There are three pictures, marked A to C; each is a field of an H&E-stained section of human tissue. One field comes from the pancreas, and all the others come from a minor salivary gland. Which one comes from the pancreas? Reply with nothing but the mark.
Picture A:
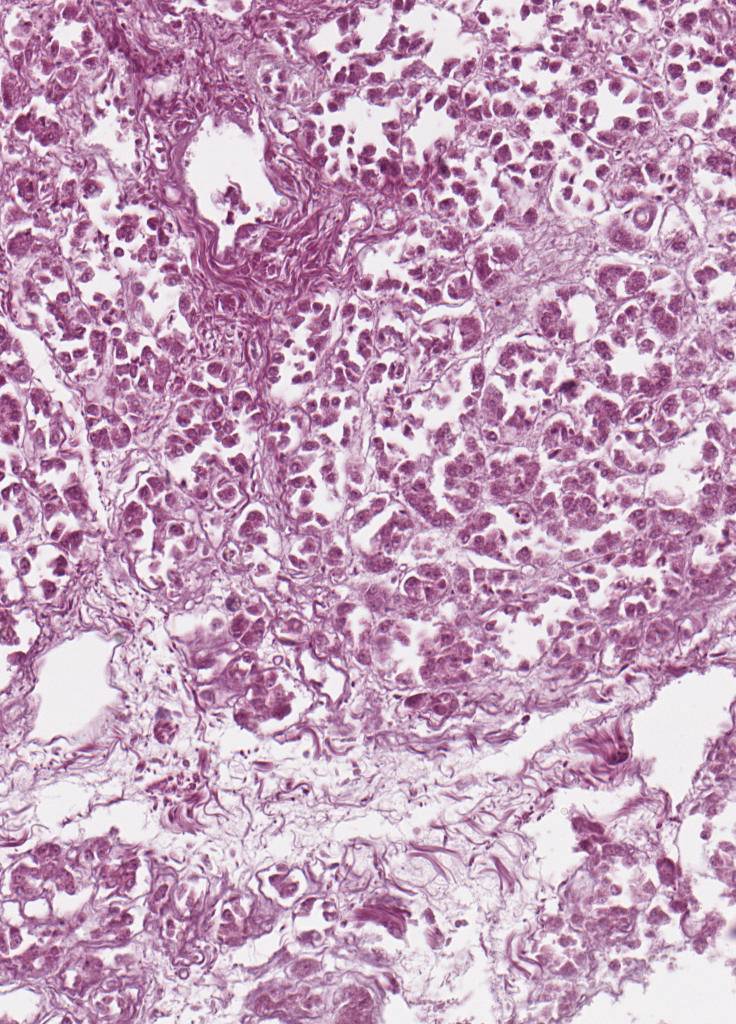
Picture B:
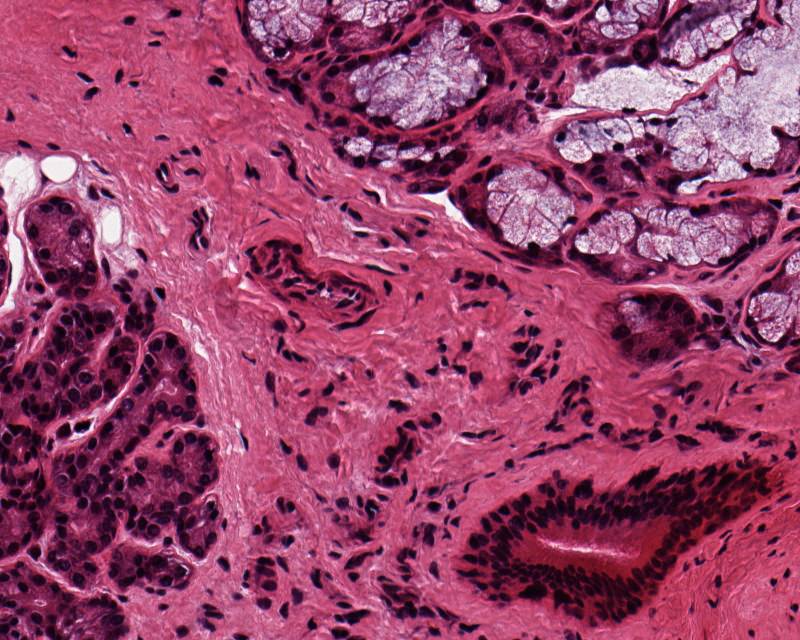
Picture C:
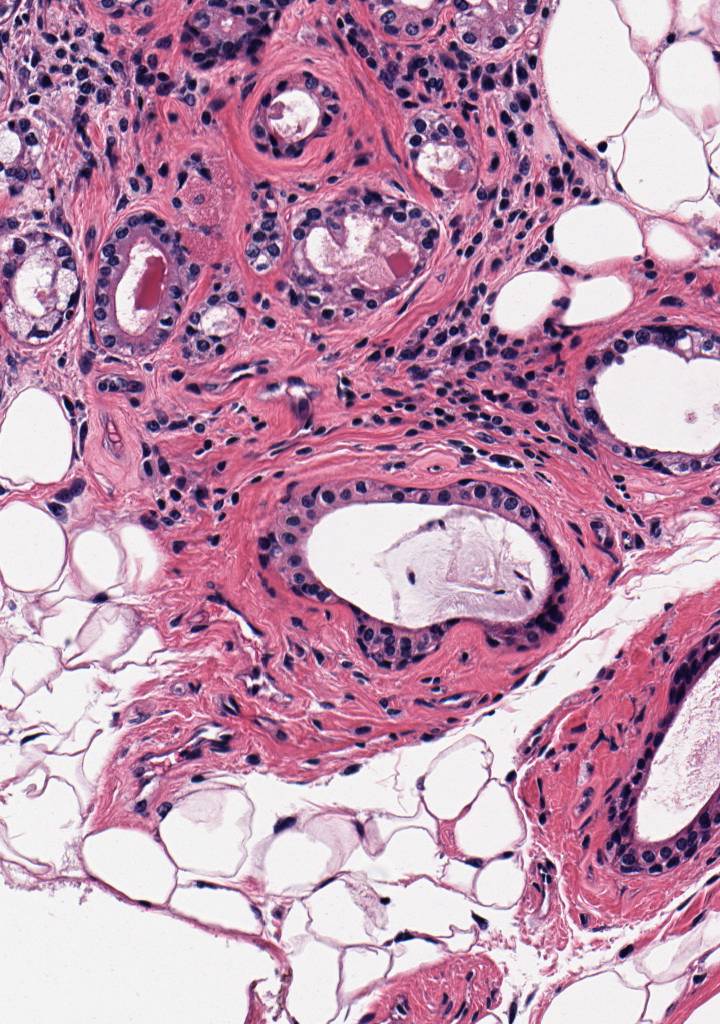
A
